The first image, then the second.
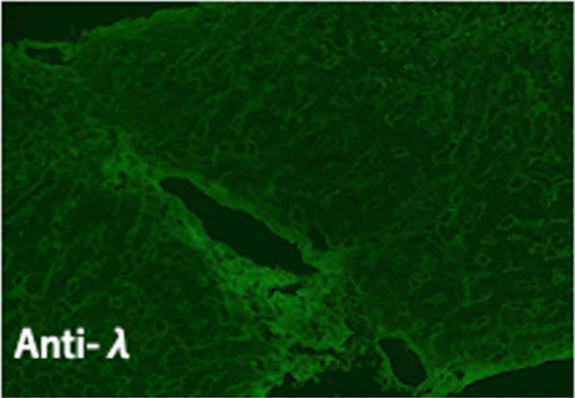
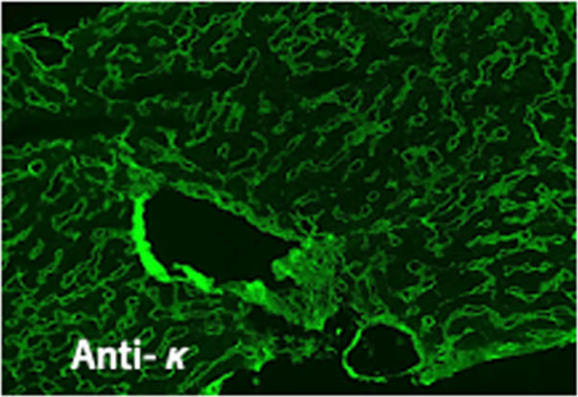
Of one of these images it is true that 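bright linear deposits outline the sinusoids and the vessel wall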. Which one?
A: The second image.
